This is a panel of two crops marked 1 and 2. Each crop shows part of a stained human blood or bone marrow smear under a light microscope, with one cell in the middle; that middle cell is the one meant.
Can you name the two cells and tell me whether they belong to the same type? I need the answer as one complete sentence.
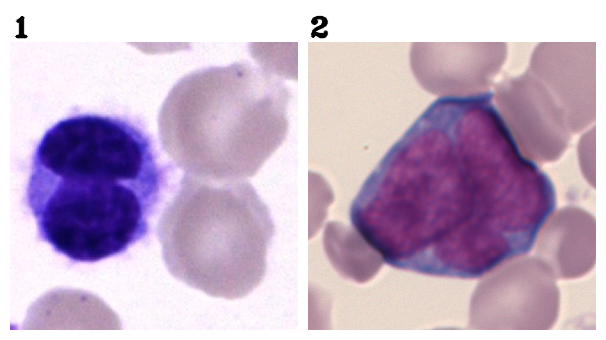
No, crop 1 matches a lymphocyte and crop 2 matches a blast.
